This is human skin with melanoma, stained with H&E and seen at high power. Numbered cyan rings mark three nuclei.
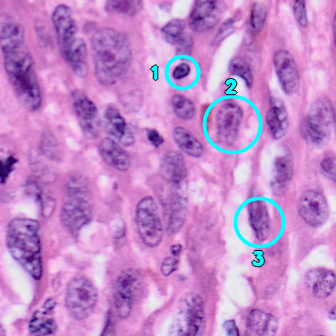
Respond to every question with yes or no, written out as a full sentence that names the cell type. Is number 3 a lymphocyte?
No, the cell tagged 3 is a melanoma cell, not a lymphocyte.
